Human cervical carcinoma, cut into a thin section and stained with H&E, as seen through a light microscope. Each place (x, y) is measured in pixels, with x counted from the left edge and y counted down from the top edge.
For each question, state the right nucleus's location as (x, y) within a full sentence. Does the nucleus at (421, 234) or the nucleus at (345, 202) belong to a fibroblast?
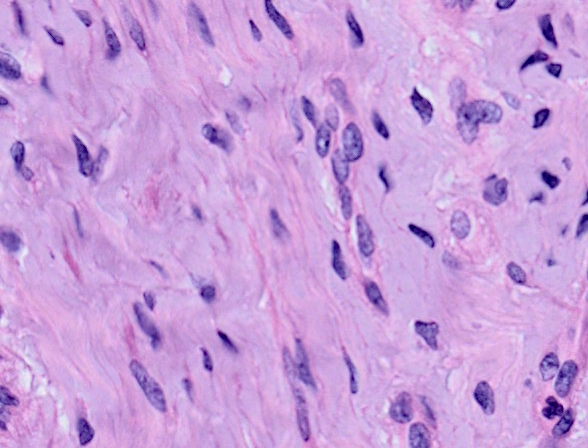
Of the two nuclei, the nucleus of a fibroblast is at (421, 234).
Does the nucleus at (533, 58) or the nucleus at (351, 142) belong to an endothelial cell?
Among the two nuclei, the one found at (351, 142) belongs to an endothelial cell.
